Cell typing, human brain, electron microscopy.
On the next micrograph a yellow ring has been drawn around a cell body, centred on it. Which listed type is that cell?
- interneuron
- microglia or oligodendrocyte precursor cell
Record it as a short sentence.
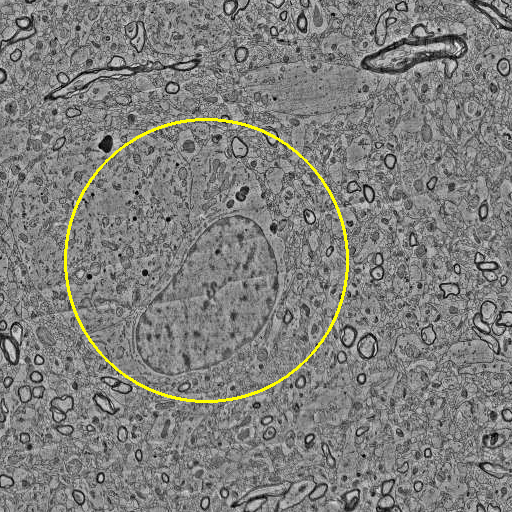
The cell body in the ring's centre belongs to a microglial cell or oligodendrocyte precursor cell.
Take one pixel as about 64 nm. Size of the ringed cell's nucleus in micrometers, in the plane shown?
Roughly 11 by 7 micrometres; in this plane, clearly longer than it is wide.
